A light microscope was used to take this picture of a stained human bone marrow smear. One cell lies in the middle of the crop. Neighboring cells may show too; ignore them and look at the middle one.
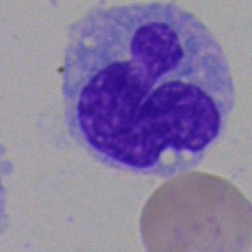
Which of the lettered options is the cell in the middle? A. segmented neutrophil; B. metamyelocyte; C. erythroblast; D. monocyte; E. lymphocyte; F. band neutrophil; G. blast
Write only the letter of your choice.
D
